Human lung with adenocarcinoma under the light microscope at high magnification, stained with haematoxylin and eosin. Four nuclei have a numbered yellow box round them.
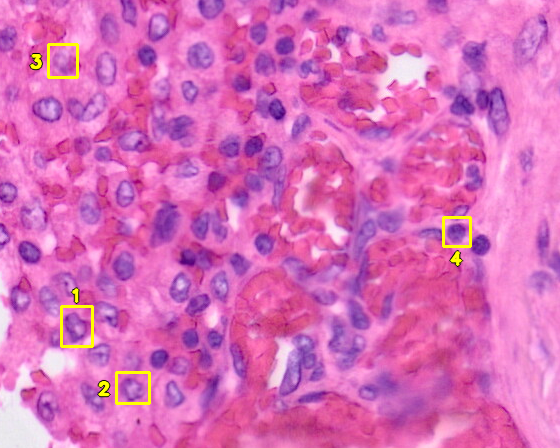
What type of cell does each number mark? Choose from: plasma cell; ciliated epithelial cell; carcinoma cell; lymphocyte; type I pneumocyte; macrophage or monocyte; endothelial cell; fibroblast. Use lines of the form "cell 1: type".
cell 1: macrophage or monocyte
cell 2: macrophage or monocyte
cell 3: macrophage or monocyte
cell 4: lymphocyte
